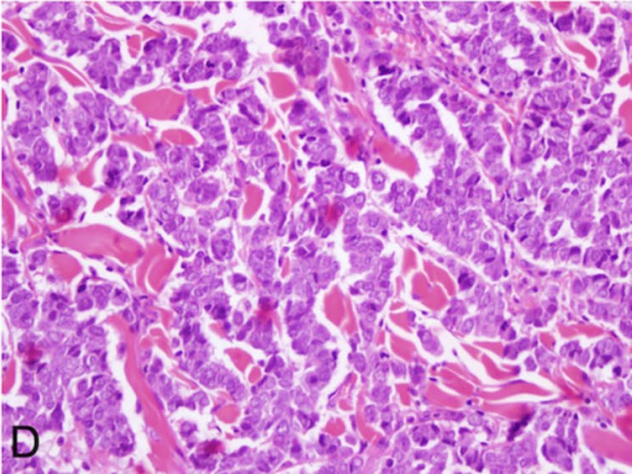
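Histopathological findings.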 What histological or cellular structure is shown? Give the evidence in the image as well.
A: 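Tumor cells form branching, joining cords. The cords are separated by pink collagen bundles. The nuclei have pale, open chromatin. On this evidence: Anastomosing and irregular trabecular configuration.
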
